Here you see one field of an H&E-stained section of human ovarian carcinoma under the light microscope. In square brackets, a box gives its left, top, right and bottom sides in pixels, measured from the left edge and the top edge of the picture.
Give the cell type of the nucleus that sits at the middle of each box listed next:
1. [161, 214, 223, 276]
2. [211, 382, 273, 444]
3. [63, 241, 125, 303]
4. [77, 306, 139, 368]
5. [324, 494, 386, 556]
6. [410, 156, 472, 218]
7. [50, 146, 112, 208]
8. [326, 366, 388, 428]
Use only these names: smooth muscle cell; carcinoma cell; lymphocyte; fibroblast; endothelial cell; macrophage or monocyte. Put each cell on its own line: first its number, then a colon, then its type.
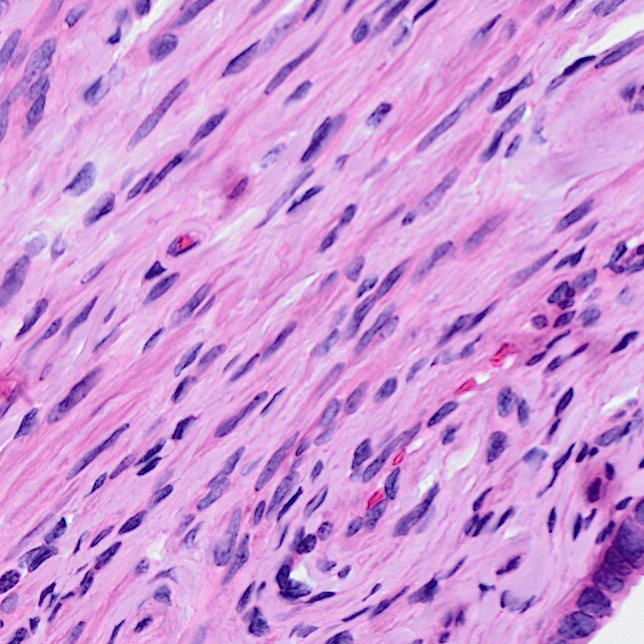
1: endothelial cell
2: smooth muscle cell
3: smooth muscle cell
4: fibroblast
5: endothelial cell
6: smooth muscle cell
7: fibroblast
8: smooth muscle cell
